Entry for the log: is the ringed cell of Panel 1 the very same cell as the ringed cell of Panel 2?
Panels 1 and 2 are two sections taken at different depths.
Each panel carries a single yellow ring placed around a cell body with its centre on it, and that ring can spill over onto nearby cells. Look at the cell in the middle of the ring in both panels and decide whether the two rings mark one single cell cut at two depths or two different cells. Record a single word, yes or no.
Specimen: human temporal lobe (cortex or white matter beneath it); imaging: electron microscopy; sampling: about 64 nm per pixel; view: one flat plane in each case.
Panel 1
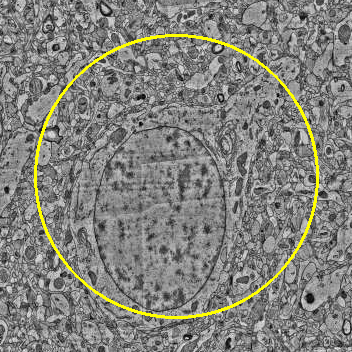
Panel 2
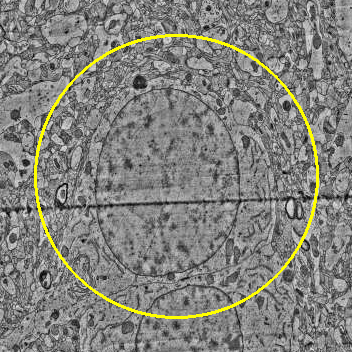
no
